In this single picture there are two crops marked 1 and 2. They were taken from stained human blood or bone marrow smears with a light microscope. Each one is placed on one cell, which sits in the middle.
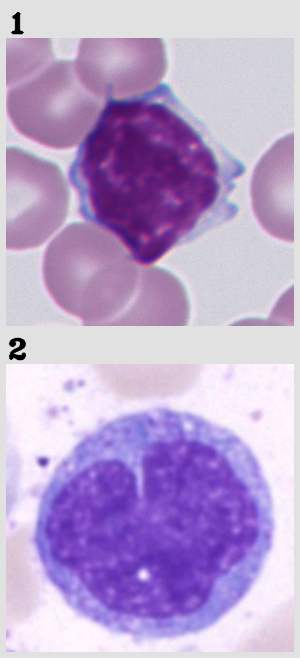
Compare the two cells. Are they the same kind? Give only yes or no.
no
